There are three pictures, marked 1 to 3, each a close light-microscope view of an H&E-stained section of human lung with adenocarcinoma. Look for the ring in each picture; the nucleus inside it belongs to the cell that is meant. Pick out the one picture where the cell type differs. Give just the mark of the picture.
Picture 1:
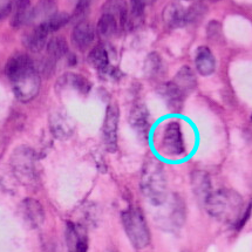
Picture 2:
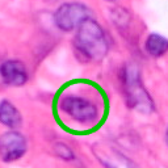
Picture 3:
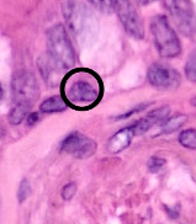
2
